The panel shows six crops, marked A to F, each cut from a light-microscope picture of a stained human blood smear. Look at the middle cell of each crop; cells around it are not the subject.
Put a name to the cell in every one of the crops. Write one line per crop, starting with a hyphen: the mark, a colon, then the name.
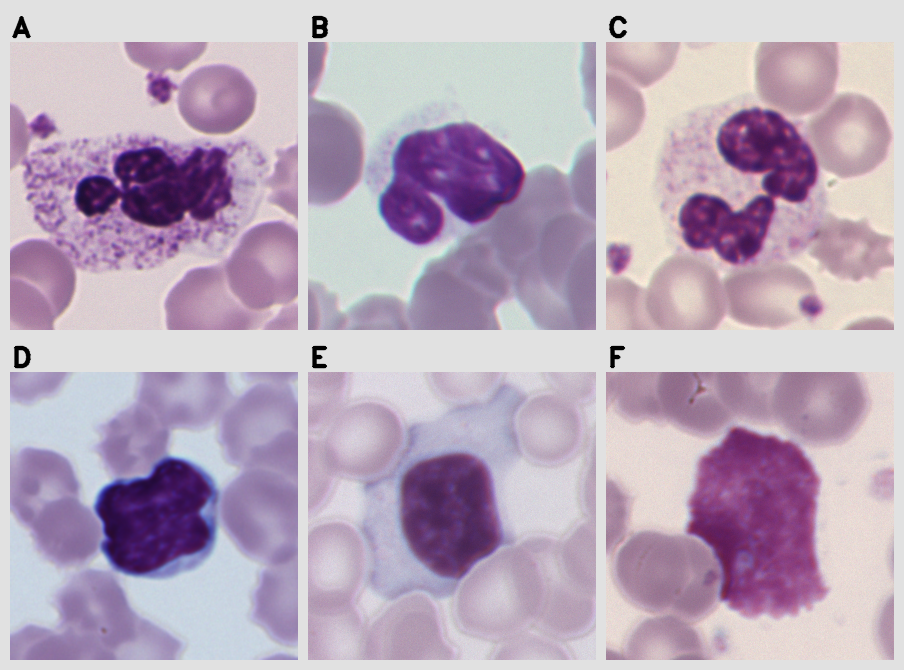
- A: segmented neutrophil
- B: segmented neutrophil
- C: segmented neutrophil
- D: typical lymphocyte
- E: typical lymphocyte
- F: smudge cell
